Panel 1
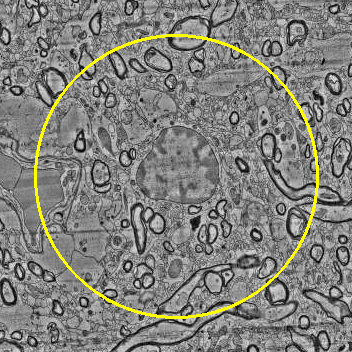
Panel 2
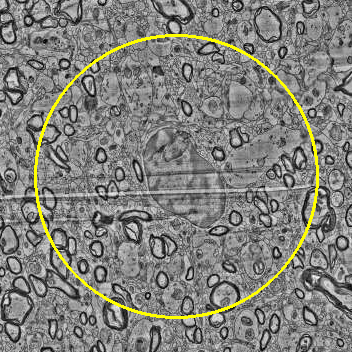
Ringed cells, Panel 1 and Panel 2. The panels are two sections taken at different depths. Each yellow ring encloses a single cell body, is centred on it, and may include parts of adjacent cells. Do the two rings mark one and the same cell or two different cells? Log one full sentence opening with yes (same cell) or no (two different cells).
No, the two circled cells are distinct from one another.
